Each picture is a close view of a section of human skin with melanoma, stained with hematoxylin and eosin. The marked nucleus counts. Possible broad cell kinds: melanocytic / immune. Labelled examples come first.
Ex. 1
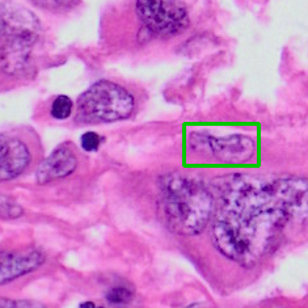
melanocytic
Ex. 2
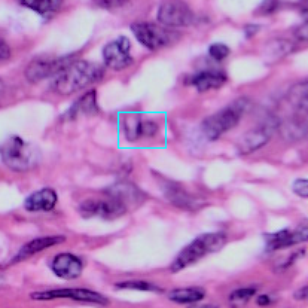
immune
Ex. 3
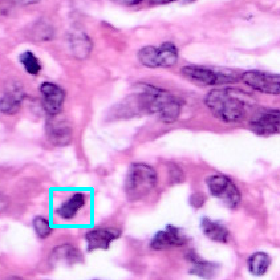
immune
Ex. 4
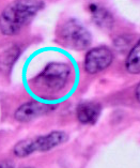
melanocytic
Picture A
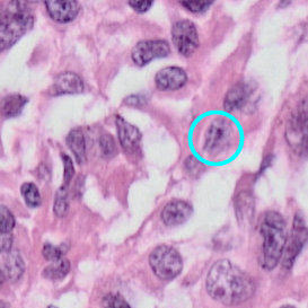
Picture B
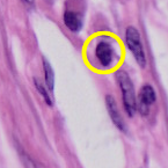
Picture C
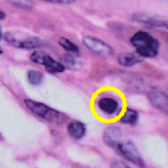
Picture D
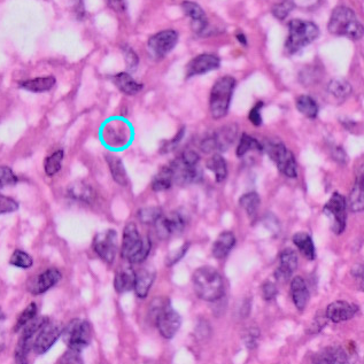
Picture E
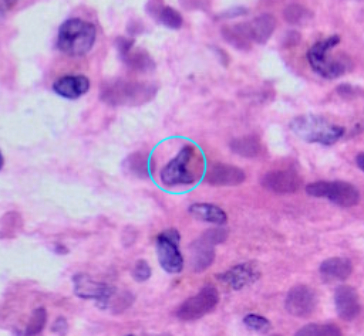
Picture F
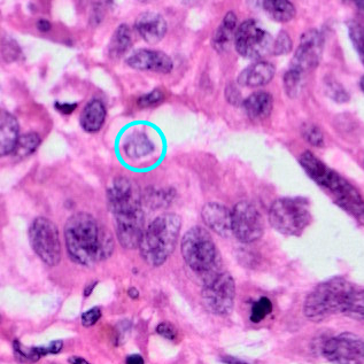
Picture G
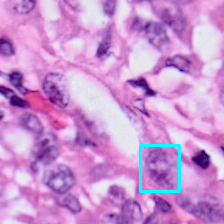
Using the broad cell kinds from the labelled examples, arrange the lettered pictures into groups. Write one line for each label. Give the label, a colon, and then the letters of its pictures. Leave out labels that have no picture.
melanocytic: A, D, G
immune: B, C, E, F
